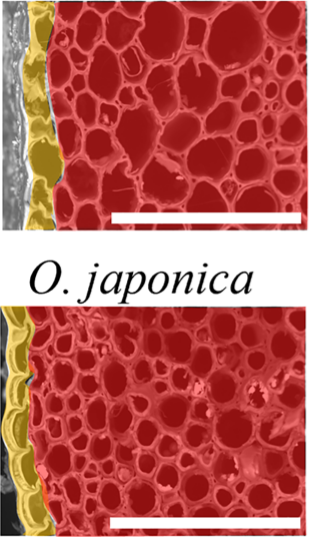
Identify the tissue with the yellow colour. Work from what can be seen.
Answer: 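Epidermis. The yellow layer is a thin band of small cells at the outer edge of the section. It is a single row of cells lying outside the red-tinted cells.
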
